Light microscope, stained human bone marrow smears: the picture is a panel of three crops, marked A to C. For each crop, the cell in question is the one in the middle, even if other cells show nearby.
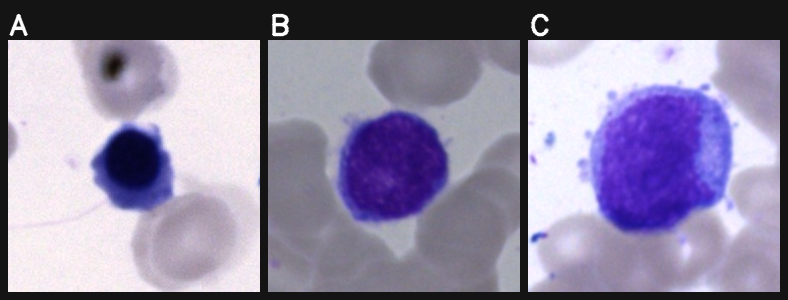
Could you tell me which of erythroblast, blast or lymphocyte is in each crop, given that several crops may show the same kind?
A: erythroblast
B: lymphocyte
C: blast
